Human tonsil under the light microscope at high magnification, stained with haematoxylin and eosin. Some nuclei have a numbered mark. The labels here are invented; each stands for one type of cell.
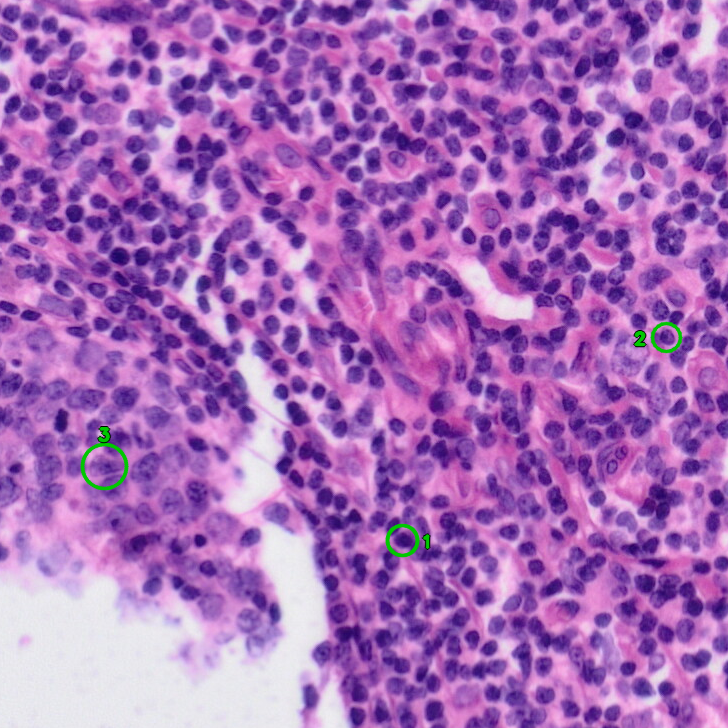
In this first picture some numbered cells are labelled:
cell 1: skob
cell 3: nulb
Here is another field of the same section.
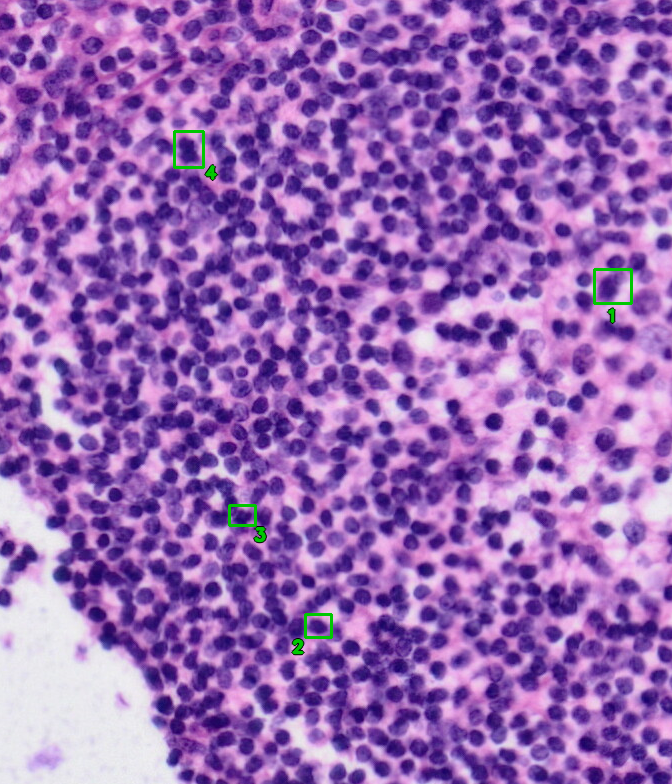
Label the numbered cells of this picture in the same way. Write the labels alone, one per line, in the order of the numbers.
nulb
skob
skob
skob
